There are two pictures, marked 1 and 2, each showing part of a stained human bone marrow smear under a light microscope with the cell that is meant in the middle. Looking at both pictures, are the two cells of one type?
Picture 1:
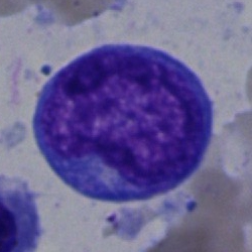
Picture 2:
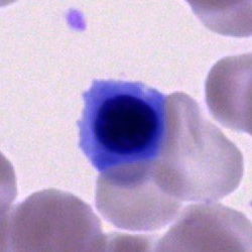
no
